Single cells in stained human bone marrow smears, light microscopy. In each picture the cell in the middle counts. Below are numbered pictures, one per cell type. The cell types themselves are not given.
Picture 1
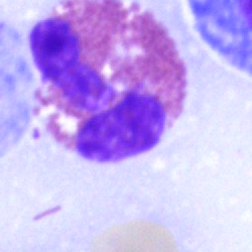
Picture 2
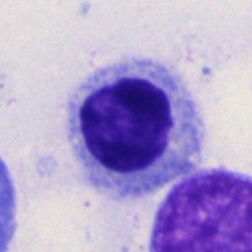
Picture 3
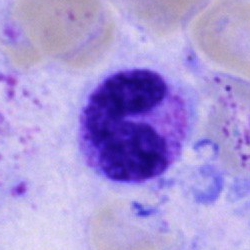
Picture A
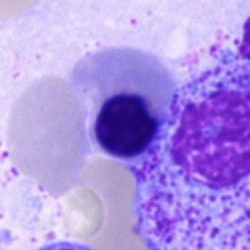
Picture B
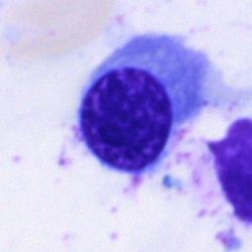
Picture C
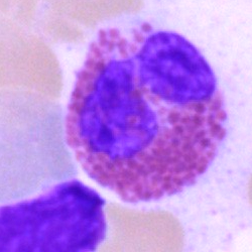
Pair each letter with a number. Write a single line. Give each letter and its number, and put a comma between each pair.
A 2, B 2, C 1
